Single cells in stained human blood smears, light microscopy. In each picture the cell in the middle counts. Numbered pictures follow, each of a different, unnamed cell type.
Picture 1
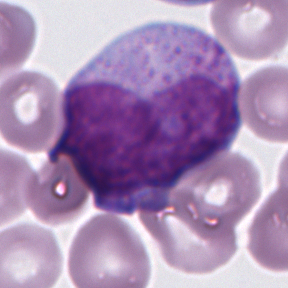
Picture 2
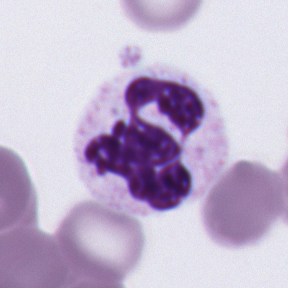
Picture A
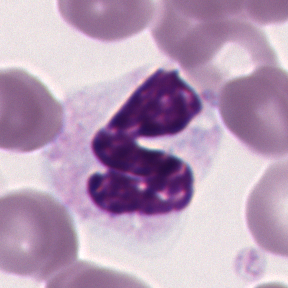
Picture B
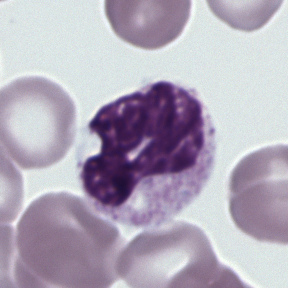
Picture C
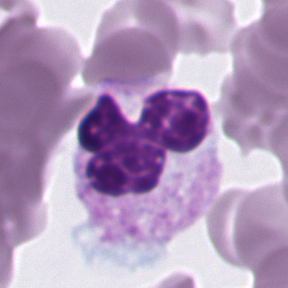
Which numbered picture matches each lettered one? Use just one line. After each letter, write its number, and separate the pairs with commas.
A 2, B 2, C 2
